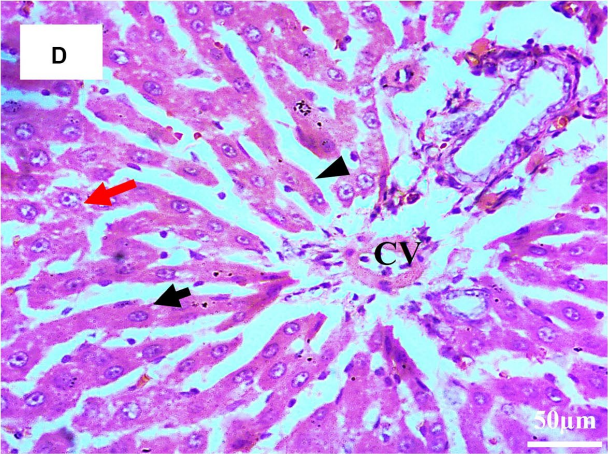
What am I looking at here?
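Cords of polygonal liver cells with pink cytoplasm and round central nuclei radiate from a central vein toward the edges of the field. Pale sinusoidal spaces separate the cords, and a vessel with surrounding connective tissue lies near the upper right.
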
